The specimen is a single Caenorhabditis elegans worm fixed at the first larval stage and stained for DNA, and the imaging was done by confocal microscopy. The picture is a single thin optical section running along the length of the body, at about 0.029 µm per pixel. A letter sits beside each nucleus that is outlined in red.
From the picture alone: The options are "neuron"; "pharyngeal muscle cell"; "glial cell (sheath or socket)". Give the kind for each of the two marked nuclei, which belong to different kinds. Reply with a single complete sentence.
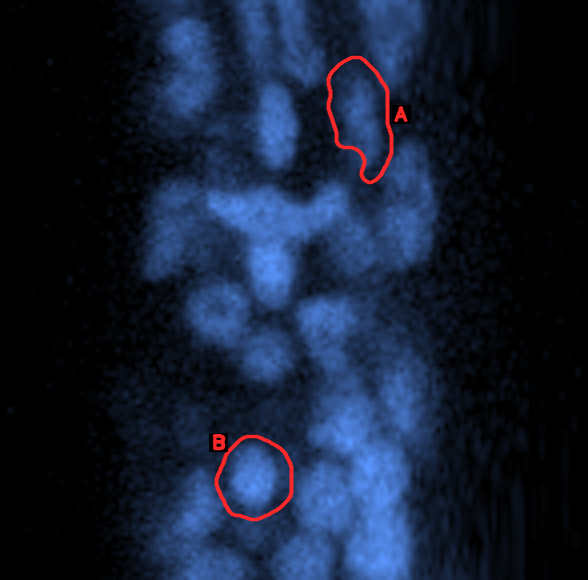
A belongs to a glial cell (sheath or socket) and B to a neuron.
